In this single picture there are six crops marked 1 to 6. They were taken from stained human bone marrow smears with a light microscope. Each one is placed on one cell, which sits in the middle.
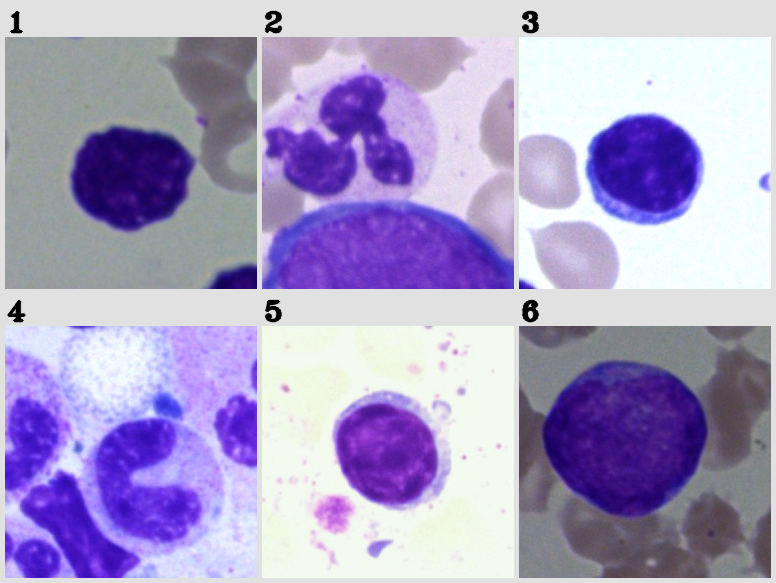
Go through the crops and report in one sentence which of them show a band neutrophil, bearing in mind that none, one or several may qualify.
The other crops lack a band neutrophil; only crop 4 has one.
